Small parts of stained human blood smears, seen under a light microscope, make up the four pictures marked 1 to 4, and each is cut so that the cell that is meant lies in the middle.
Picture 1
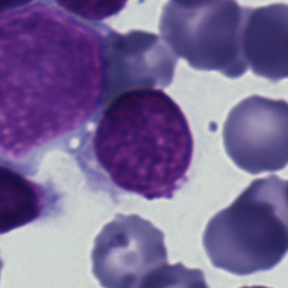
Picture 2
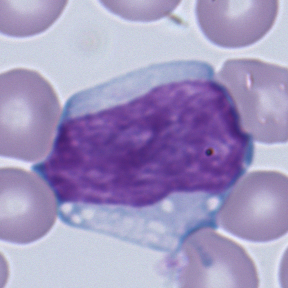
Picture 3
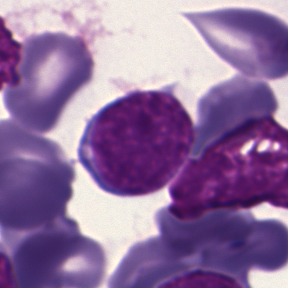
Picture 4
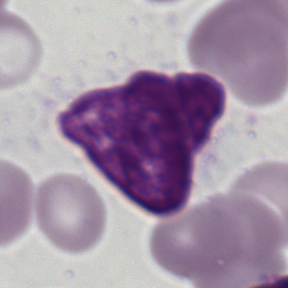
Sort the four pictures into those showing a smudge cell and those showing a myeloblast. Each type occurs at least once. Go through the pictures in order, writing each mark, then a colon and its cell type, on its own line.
1: myeloblast
2: myeloblast
3: myeloblast
4: smudge cell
